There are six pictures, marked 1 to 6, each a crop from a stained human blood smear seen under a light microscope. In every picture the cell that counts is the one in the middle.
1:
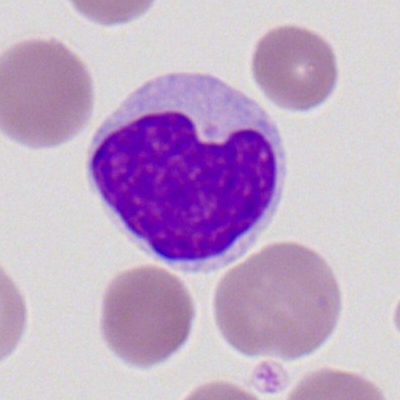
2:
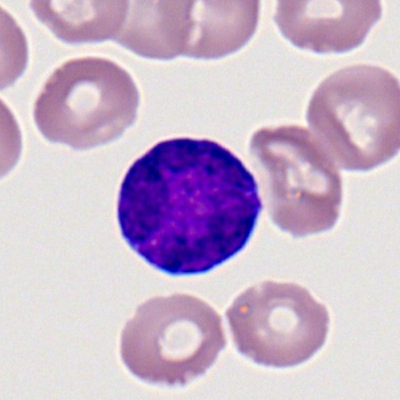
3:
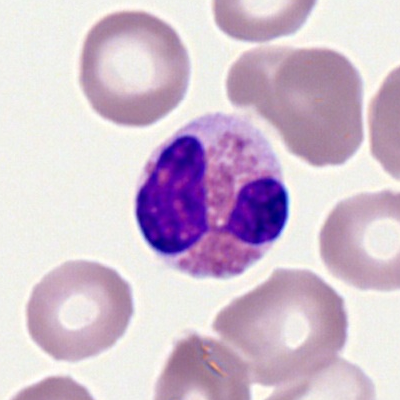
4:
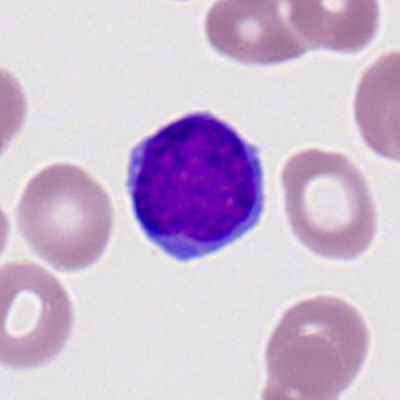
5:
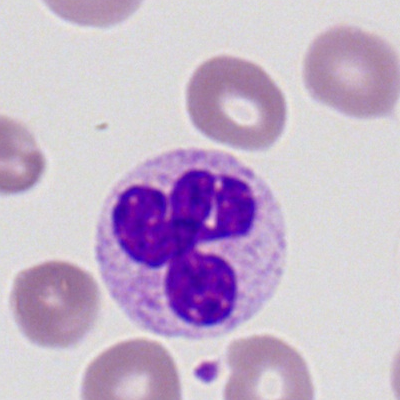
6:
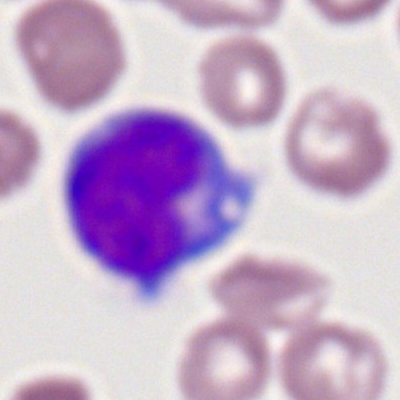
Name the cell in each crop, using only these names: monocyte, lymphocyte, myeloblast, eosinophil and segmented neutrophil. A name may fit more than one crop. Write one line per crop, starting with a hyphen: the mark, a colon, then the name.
- 1: lymphocyte
- 2: lymphocyte
- 3: eosinophil
- 4: lymphocyte
- 5: segmented neutrophil
- 6: monocyte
